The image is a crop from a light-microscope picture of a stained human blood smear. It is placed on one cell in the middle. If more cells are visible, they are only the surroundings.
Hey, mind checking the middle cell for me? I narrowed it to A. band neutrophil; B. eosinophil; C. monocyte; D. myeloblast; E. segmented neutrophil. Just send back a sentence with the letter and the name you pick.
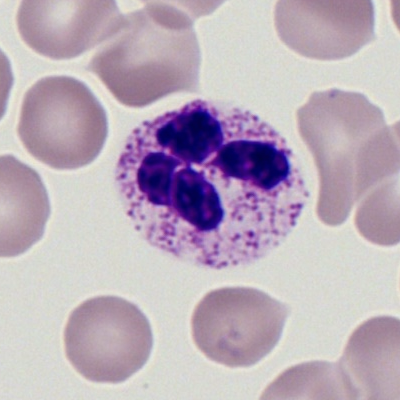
The cell centered in the crop is a segmented neutrophil, making option E the correct pick.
